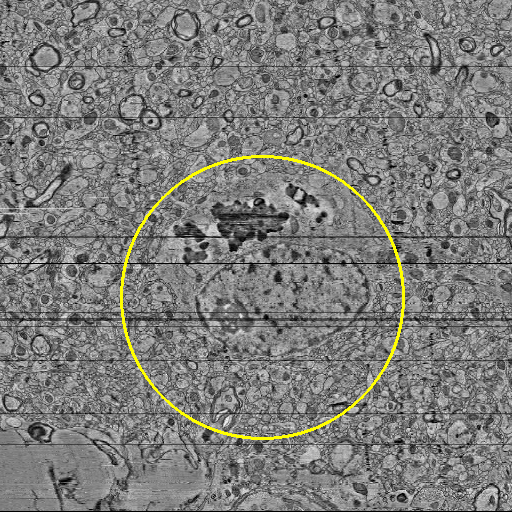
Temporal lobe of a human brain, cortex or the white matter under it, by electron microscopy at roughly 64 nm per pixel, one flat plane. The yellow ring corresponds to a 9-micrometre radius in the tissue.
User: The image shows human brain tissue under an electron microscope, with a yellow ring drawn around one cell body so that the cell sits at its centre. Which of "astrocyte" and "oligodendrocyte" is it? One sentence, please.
At the centre of the ring sits an astrocyte.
